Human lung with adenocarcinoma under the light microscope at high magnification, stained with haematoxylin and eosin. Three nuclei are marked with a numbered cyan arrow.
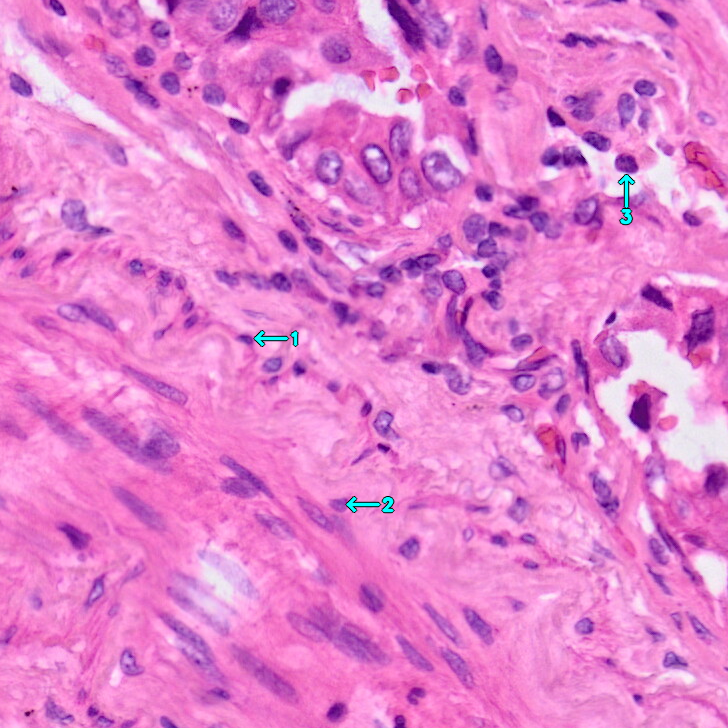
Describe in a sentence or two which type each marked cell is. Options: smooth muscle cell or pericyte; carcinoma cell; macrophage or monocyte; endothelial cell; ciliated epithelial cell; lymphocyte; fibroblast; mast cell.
Cells 1 and 2 are smooth muscle cells or pericytes. Cell 3 is a lymphocyte.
